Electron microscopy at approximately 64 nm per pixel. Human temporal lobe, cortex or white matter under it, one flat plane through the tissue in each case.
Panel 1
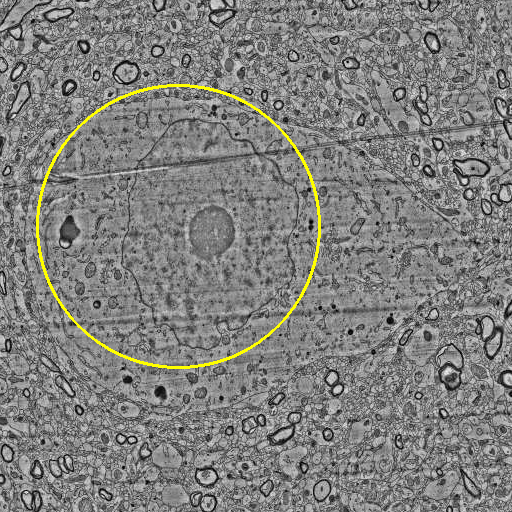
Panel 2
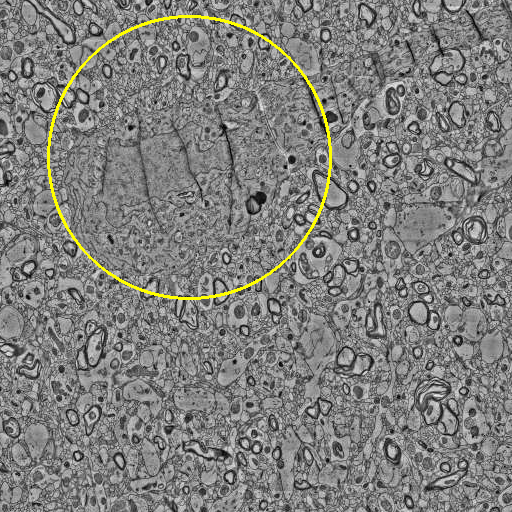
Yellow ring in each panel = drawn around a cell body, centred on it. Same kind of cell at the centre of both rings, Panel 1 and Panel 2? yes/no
yes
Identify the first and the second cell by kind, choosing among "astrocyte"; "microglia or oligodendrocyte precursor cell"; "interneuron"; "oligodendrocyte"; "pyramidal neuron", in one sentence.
In each picture the ringed cell is a pyramidal neuron.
